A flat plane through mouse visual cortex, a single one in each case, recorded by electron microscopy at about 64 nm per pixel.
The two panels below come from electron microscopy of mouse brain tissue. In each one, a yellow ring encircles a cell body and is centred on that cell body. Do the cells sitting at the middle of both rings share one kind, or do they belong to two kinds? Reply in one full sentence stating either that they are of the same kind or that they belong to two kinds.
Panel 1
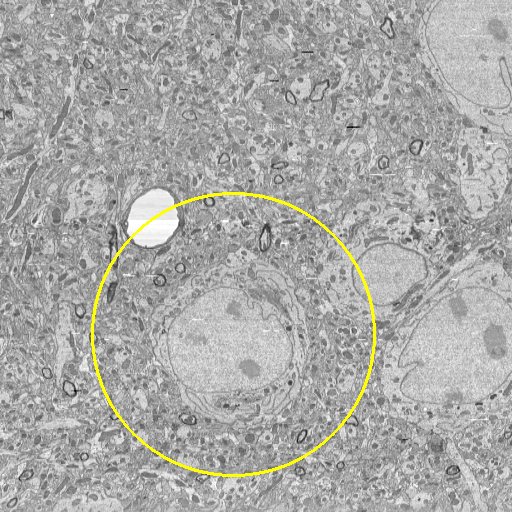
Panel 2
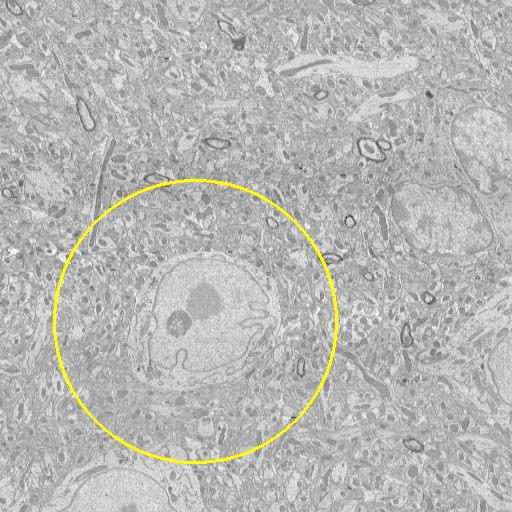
The cells at the centres of the two rings are of the same kind.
